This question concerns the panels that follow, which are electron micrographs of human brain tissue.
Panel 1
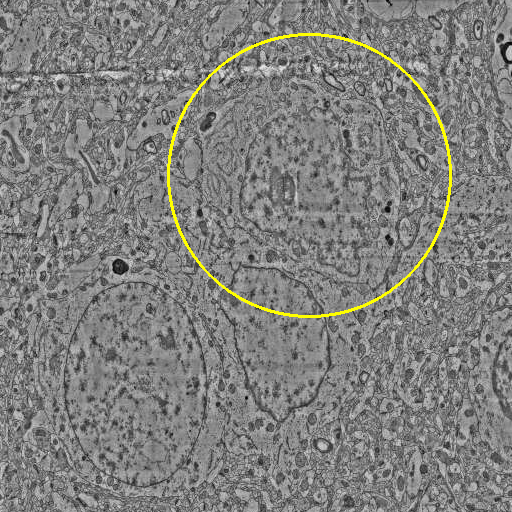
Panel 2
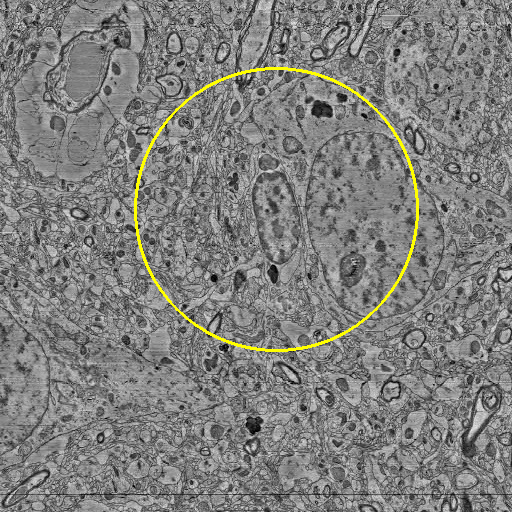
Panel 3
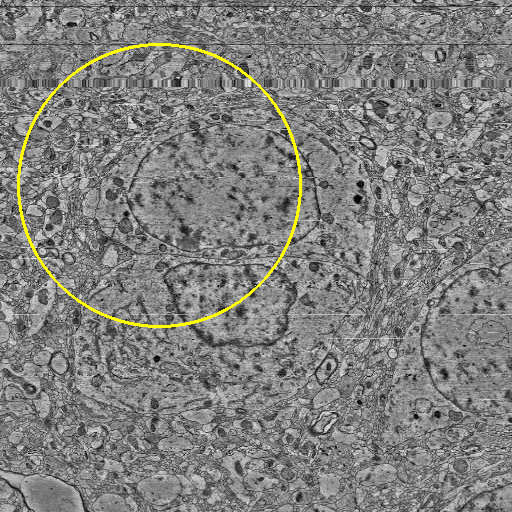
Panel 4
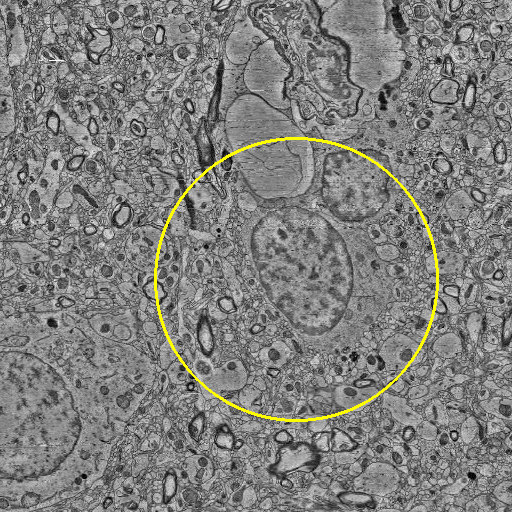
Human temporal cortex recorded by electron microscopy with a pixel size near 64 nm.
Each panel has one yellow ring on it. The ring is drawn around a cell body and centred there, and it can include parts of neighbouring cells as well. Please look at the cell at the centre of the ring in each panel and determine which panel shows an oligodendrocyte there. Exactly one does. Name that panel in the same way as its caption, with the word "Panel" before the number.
Panel 4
